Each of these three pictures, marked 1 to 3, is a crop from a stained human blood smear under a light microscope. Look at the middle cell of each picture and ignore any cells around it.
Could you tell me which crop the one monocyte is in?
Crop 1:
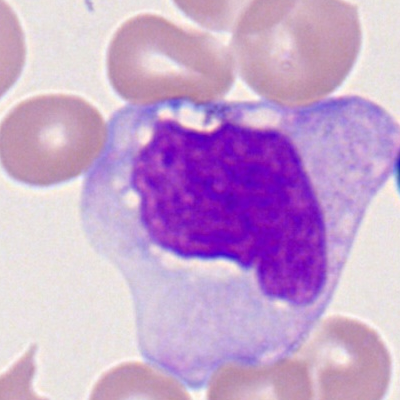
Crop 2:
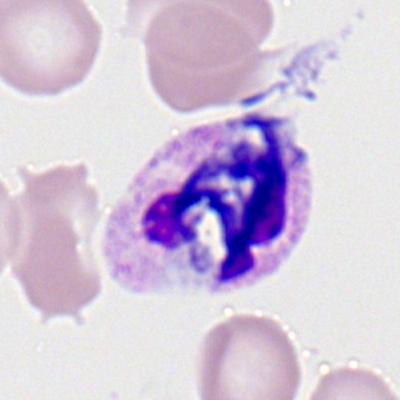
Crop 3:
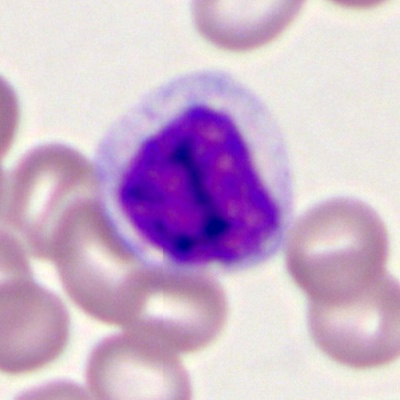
1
